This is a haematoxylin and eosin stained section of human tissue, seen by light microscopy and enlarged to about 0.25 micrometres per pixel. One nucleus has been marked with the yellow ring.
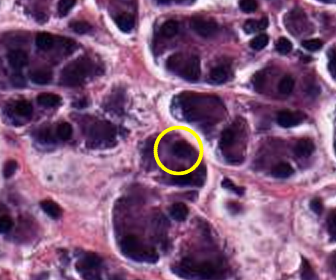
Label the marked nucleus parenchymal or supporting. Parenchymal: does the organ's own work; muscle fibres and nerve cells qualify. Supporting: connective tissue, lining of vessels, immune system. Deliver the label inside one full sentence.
The marked nucleus is the nucleus of a parenchymal cell, that is, a pancreatic acinar cell.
